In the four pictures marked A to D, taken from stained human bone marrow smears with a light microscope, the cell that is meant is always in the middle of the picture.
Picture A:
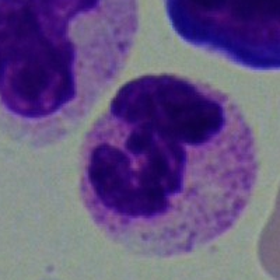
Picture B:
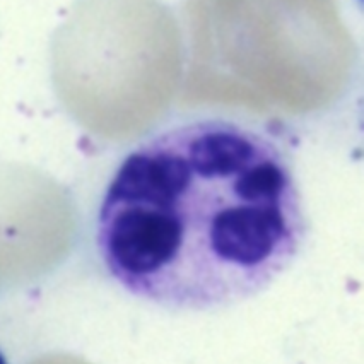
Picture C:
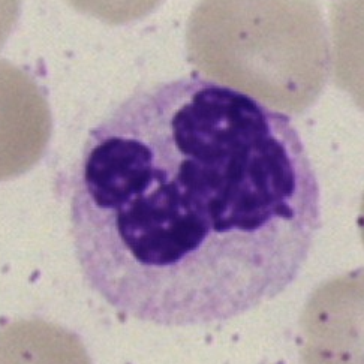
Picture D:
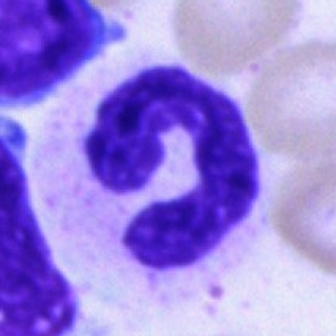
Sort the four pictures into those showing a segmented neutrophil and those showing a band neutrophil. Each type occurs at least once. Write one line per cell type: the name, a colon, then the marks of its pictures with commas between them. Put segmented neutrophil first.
segmented neutrophil: A, B, C
band neutrophil: D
